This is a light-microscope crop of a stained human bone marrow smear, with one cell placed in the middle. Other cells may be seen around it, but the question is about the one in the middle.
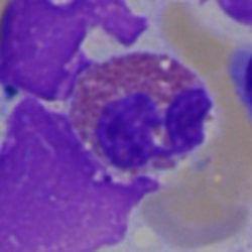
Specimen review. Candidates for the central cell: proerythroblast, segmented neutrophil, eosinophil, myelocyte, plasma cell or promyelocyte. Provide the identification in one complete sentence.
Located at the centre of the crop is an eosinophil.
